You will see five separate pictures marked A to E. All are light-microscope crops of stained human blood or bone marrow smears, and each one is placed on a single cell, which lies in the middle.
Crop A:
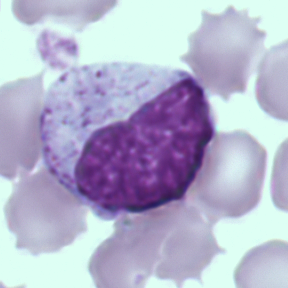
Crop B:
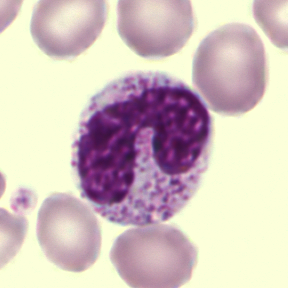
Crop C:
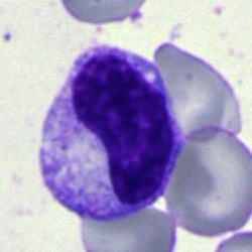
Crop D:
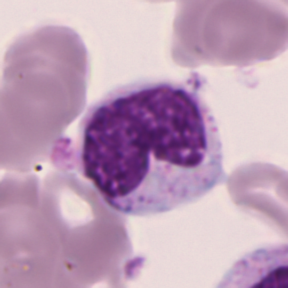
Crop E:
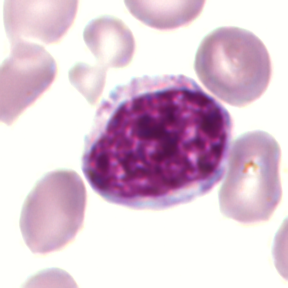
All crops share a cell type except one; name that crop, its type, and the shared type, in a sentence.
In every crop except crop B, which shows a band neutrophil, metamyelocytes are shown.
